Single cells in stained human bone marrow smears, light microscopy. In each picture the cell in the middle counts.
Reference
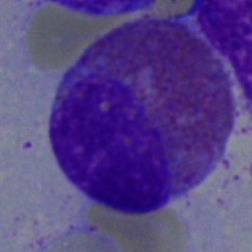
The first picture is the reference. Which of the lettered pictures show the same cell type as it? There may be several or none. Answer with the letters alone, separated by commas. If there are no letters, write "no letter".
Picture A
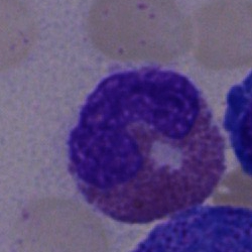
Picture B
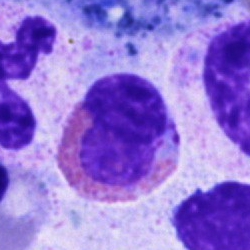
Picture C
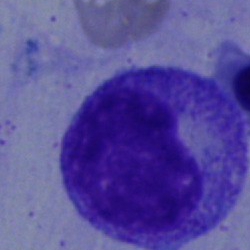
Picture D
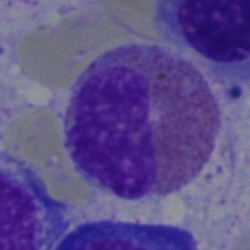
A, B, D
